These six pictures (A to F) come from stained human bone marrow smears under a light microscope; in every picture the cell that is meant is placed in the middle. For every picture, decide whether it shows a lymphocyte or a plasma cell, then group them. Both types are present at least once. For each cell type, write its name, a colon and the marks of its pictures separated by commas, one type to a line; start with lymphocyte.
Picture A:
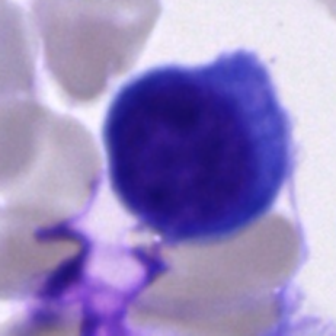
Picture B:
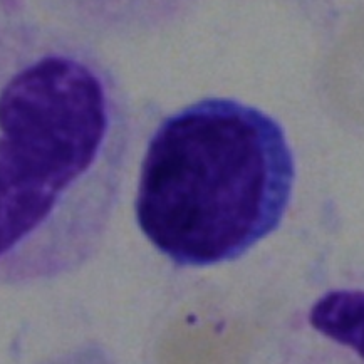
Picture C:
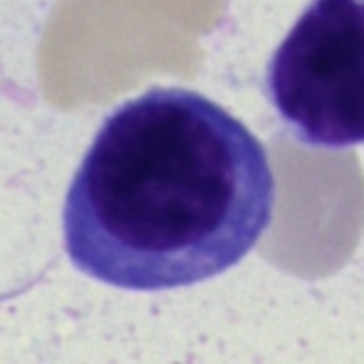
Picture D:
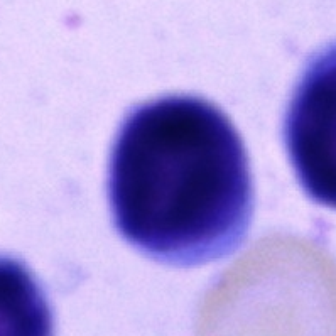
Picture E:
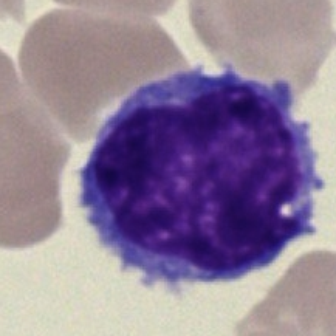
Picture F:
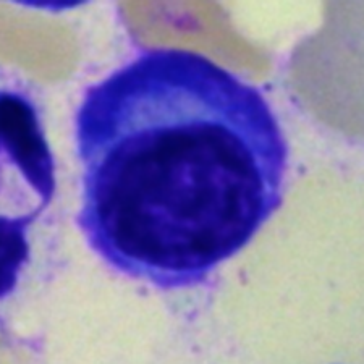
lymphocyte: B, D, E
plasma cell: A, C, F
